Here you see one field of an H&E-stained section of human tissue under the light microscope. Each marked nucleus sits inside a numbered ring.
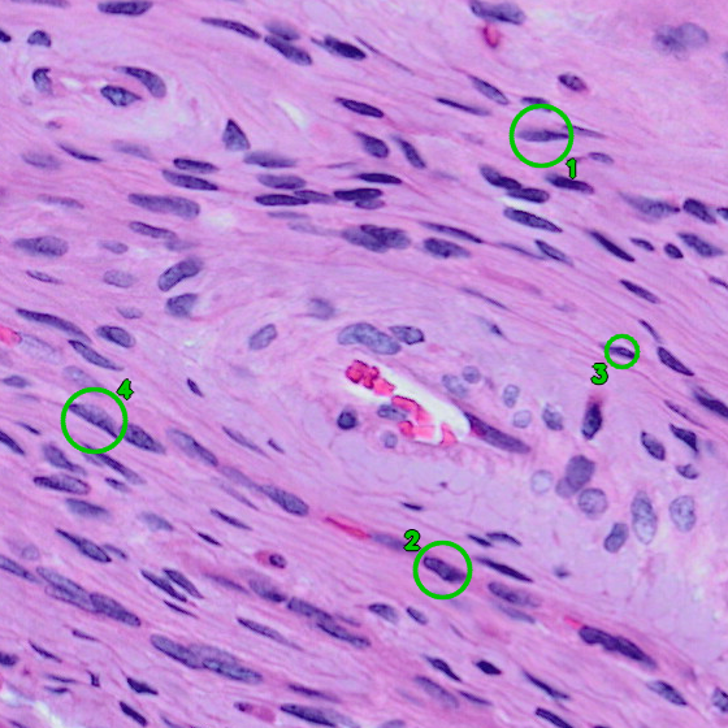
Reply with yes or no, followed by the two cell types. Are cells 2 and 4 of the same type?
No, cell 2 is an endothelial cell and cell 4 is a fibroblast.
